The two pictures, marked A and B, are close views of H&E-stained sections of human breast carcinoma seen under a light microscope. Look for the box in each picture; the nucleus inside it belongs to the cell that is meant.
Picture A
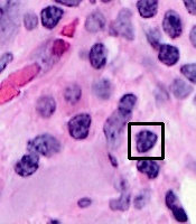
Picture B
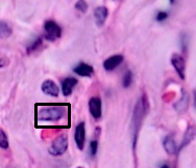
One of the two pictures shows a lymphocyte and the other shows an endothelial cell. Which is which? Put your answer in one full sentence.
In picture A the cell is a lymphocyte; in picture B, an endothelial cell.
